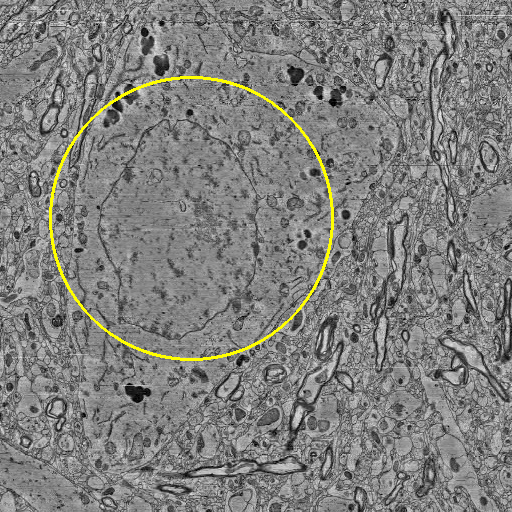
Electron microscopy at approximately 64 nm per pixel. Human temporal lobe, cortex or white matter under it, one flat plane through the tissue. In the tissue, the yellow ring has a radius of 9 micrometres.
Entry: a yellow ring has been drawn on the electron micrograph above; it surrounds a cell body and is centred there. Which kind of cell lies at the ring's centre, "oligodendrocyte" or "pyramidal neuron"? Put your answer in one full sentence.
The cell sitting at the ring's centre is a pyramidal neuron in the micrograph above.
